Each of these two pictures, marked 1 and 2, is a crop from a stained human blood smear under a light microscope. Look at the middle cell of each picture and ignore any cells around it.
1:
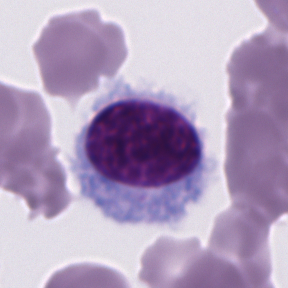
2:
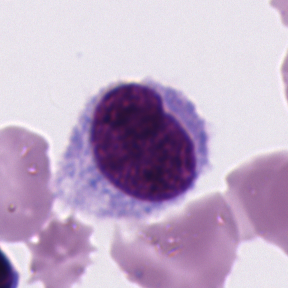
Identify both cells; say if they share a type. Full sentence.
Yes, the reply for both crops is hairy cells.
